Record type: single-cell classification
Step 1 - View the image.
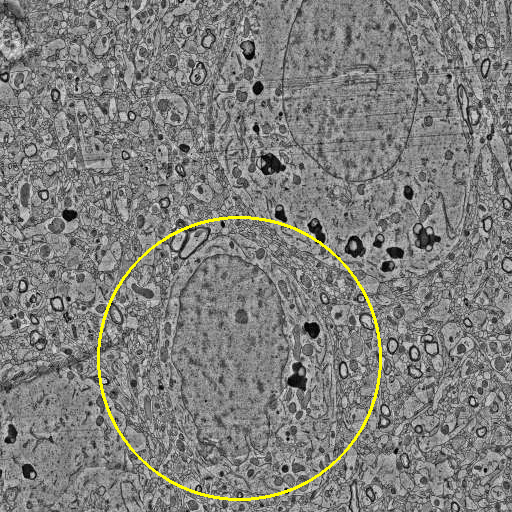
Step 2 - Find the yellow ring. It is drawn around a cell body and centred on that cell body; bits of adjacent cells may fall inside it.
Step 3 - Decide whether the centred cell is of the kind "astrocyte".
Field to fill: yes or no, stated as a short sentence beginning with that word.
No, the centred cell belongs to another kind.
